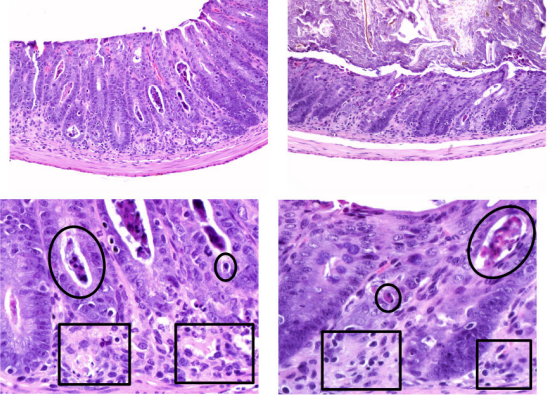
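This is colonic mucosa stained with hematoxylin and eosin, seen at low power above and high power below. The crypts are irregular and distorted, and the regular row of goblet cells full of pale mucus is largely lost. The epithelium is crowded with purple nuclei. Some crypt lumens hold dense pink and dark fragments of dead cells and debris. Small round, darkly condensed bodies lie within the epithelium, consistent with apoptotic bodies. Elsewhere, crypts have broken down, leaving loosely scattered cells with pale empty space between them in the interstitium. The lamina propria between the crypts appears cellular.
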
